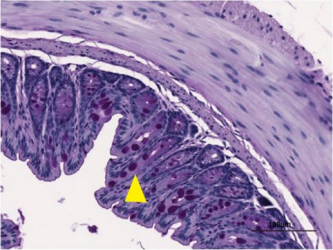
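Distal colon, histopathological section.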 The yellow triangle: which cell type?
Goblet cells.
